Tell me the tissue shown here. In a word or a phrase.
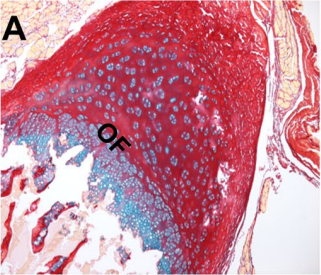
cartilage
